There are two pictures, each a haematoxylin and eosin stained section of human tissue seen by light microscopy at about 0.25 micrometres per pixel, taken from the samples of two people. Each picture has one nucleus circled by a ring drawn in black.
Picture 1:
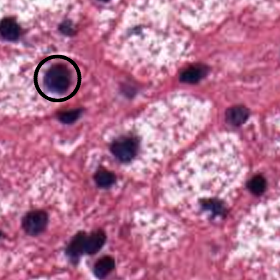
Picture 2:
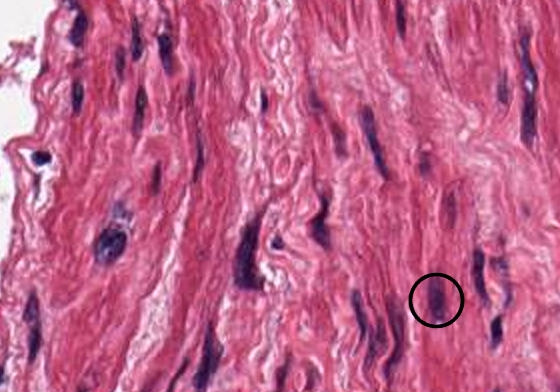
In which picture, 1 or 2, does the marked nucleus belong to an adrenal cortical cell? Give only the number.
1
